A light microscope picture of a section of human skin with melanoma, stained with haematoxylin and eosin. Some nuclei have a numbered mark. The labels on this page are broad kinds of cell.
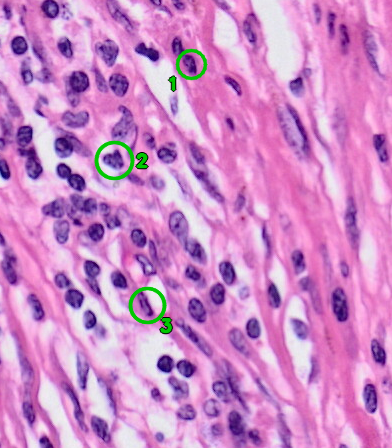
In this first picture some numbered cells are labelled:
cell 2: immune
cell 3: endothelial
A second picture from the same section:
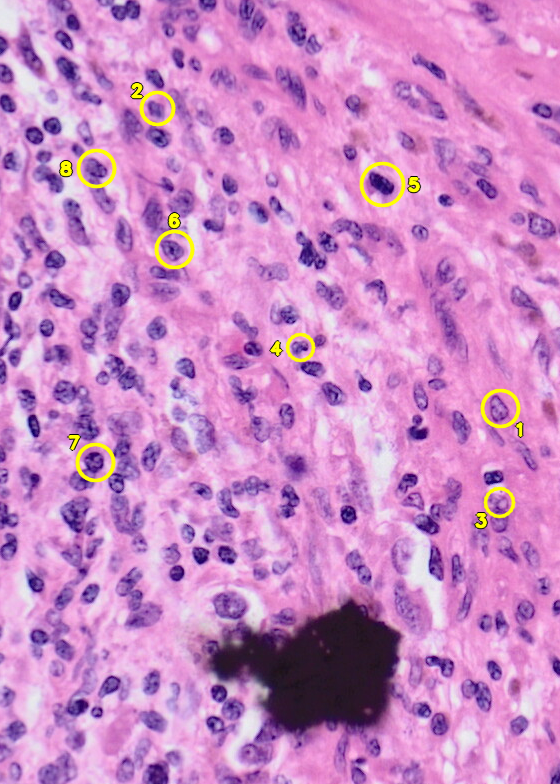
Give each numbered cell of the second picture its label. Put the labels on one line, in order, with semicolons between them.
endothelial; immune; endothelial; immune; immune; immune; immune; immune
